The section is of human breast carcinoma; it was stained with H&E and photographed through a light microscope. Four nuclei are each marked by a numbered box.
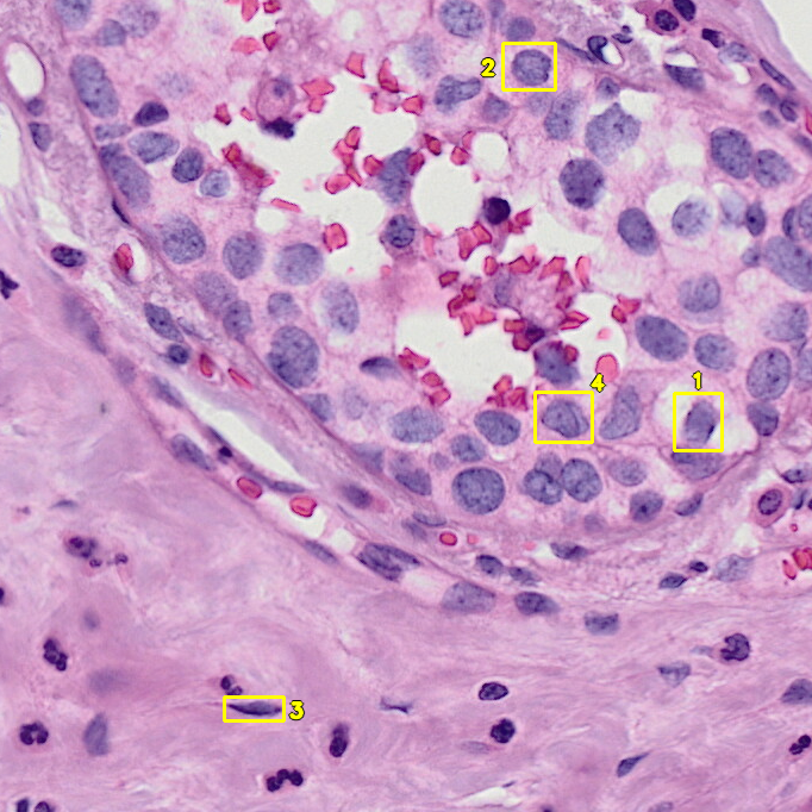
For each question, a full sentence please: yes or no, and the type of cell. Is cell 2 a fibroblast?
No, the cell at marker 2 is not a fibroblast; it is a carcinoma cell.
